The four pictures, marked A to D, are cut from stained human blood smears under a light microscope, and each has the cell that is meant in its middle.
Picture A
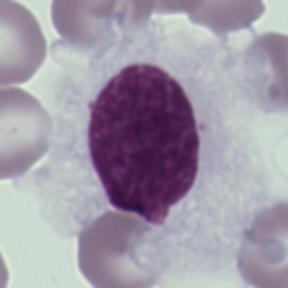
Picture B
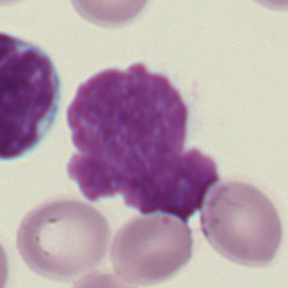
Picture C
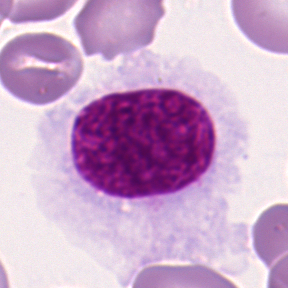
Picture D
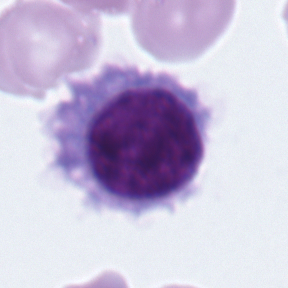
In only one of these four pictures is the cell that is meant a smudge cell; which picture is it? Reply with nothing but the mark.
B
